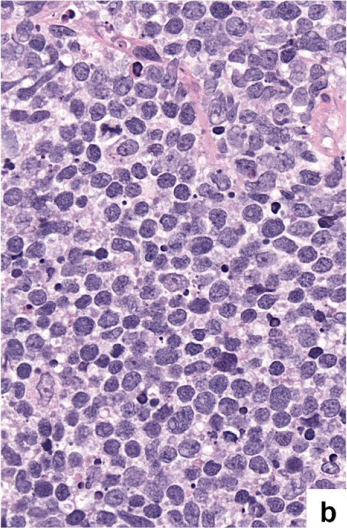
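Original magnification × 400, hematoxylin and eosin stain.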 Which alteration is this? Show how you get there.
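Blastoid morphology. A monotonous sheet of medium-sized cells with round to oval nuclei. Fine, evenly dispersed chromatin with small or no visible nucleoli. Only a thin rim of cytoplasm around each nucleus.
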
